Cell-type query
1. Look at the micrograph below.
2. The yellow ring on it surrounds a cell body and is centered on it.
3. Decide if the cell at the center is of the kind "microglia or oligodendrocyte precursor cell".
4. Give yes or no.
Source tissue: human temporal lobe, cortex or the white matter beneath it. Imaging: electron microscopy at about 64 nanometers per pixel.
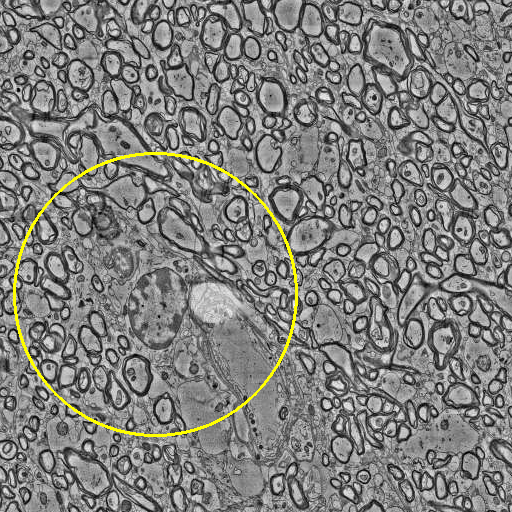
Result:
yes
